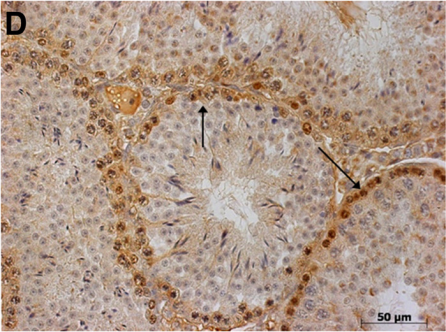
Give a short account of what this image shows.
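This is a transverse section of testis showing seminiferous tubules lined by a stratified seminiferous epithelium. Germ cells are arranged in layers from the basal lamina toward the central lumen: rounded cells with round nuclei in the basal and middle layers, and elongated, dark sperm heads oriented toward the lumen, where tails form a wispy mass. The brown stain is strongest in a row of cells along the periphery of each tubule, giving a dark brown basal ring, while the inner layers are pale brown with blue-grey nuclei. Narrow interstitial spaces with a few cells lie between the tubules.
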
